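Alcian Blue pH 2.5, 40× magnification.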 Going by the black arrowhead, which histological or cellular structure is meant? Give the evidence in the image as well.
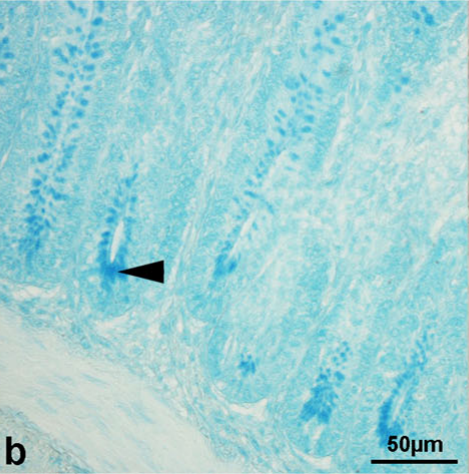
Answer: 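The arrowhead points to the lower end of an elongated gland. Blue-stained cells are concentrated around the narrow lumen at this end.
Hence: Crypt bases.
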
